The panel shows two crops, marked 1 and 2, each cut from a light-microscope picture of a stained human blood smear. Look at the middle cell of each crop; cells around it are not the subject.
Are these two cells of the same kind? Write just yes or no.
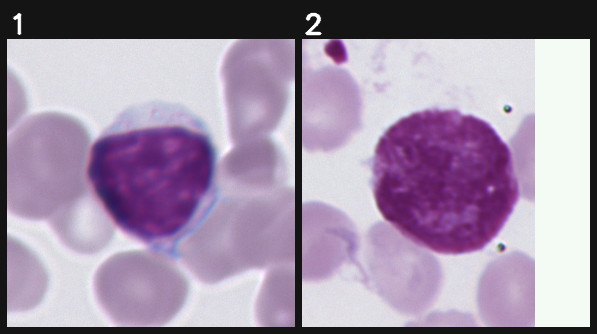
no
